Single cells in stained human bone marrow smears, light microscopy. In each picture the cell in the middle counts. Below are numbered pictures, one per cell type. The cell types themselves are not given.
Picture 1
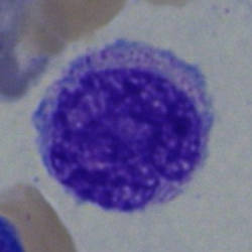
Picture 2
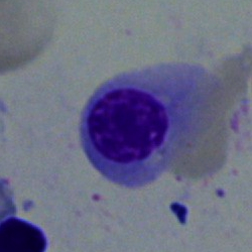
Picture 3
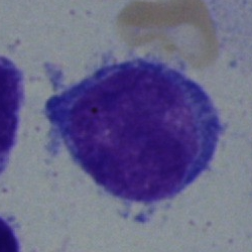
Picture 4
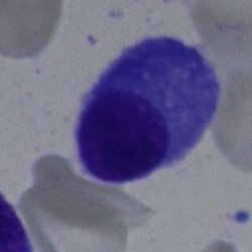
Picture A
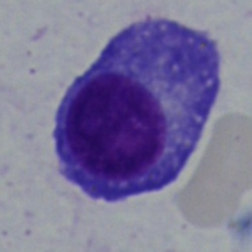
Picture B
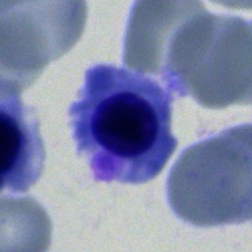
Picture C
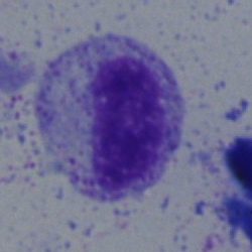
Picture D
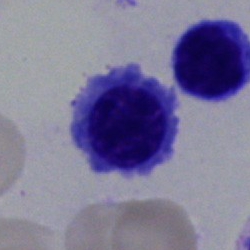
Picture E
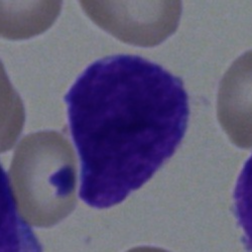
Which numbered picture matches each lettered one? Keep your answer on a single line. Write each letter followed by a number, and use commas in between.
A 4, B 2, C 1, D 2, E 3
